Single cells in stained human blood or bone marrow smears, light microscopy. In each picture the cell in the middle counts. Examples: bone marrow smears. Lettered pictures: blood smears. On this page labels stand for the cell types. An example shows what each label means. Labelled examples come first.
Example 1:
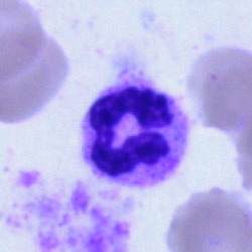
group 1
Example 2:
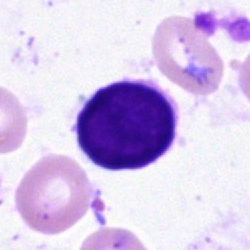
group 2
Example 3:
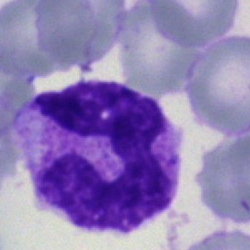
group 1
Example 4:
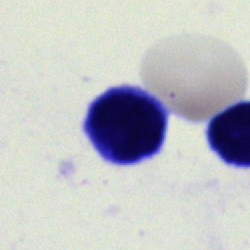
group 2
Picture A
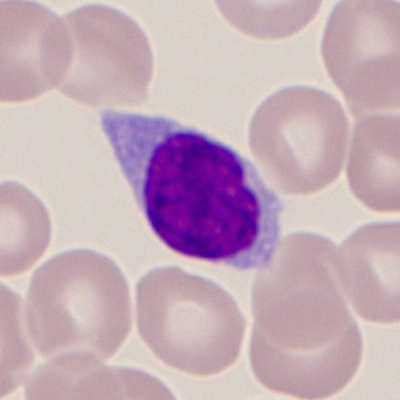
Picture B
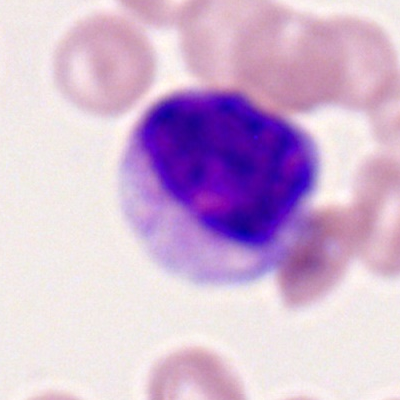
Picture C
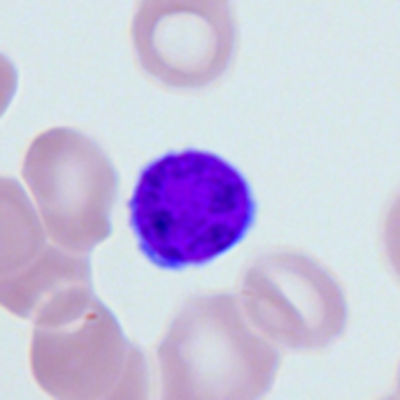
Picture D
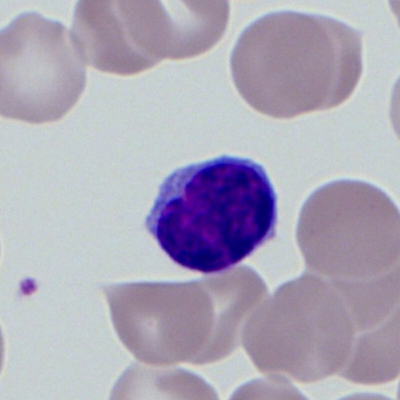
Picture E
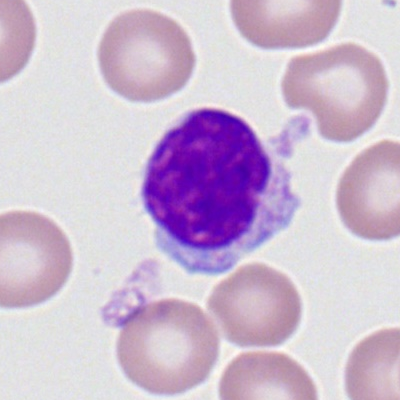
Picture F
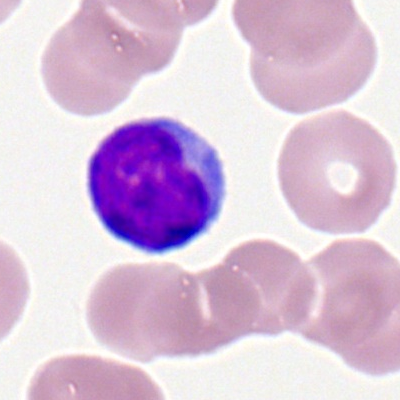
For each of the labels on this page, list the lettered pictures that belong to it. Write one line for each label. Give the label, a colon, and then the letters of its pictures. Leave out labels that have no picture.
group 2: A, B, C, D, E, F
